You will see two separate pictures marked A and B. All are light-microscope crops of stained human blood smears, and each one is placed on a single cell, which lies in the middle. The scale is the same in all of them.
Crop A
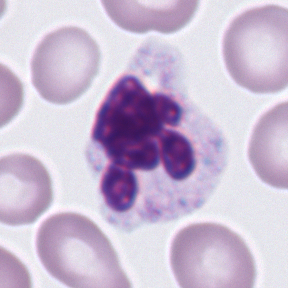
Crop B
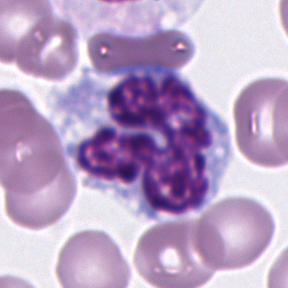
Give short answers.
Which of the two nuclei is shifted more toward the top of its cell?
A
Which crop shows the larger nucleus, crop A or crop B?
B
